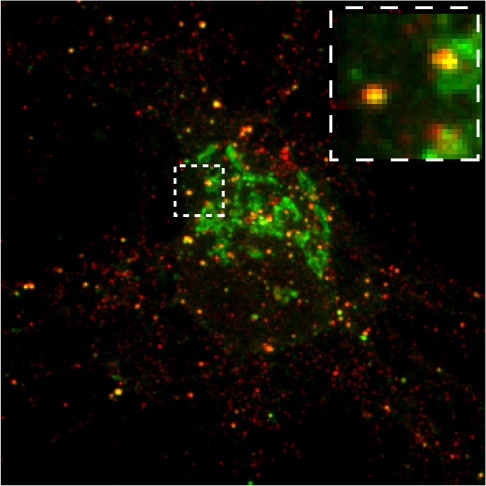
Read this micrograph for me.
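The cell body of a cultured neuron is seen in two-colour fluorescence, with a network of green puncta and tubular profiles filling much of the soma. Numerous red puncta are spread over the soma and out along its processes. Several dots appear yellow where red and green overlap, scattered through the soma. The enlarged inset shows distinct yellow puncta.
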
